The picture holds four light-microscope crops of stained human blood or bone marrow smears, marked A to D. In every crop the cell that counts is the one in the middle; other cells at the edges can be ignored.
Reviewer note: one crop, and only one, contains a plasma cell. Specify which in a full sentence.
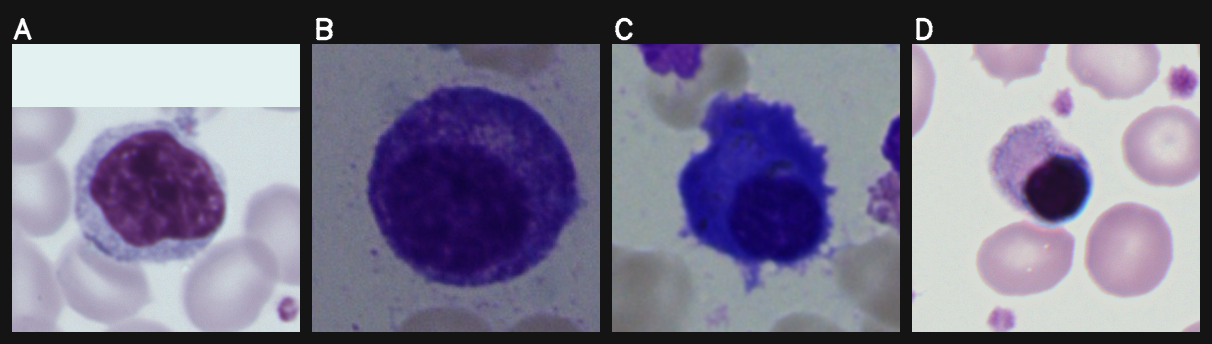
Selected crop: C, which is the one that shows a plasma cell.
